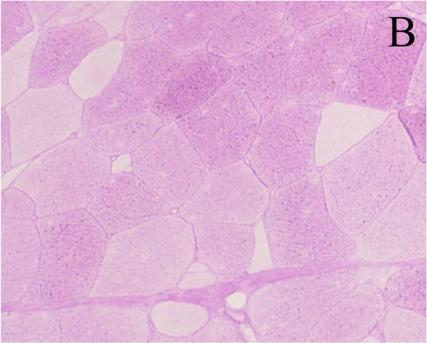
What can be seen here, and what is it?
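This is a cross-section of skeletal muscle, with the muscle fibres cut transversely so that each appears as a polygonal profile packed tightly against its neighbours. Most fibres take up a fairly strong magenta-purple colour with a finely granular texture, but the intensity varies from fibre to fibre, and a few fibres are distinctly pale. The fibres differ in size, with some large angular profiles lying beside smaller ones. Between them runs only a thin line of connective tissue, and a broader pink band of connective tissue crosses the lower part of the field. Small clear spaces appear at some of the corners where several fibres meet.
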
